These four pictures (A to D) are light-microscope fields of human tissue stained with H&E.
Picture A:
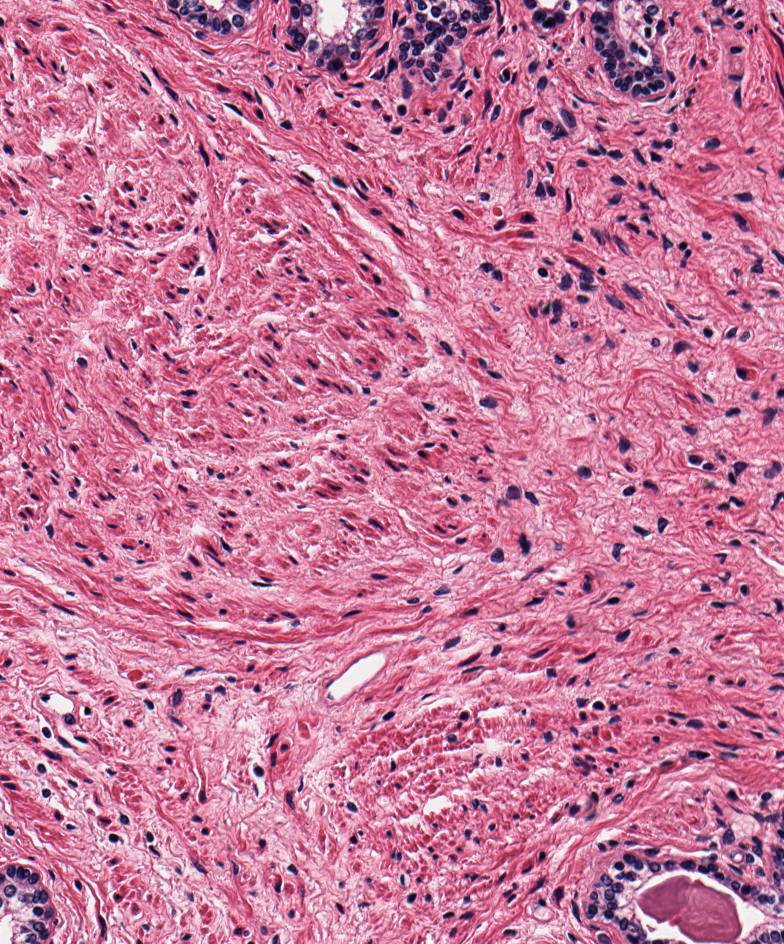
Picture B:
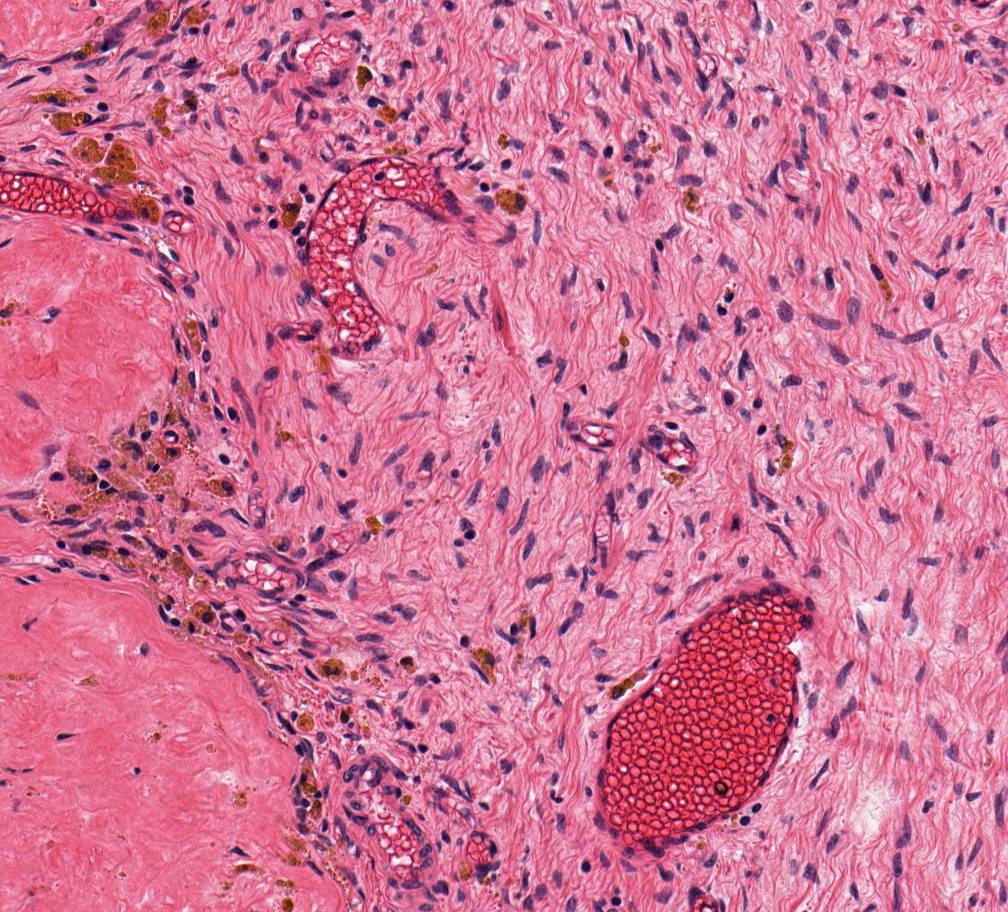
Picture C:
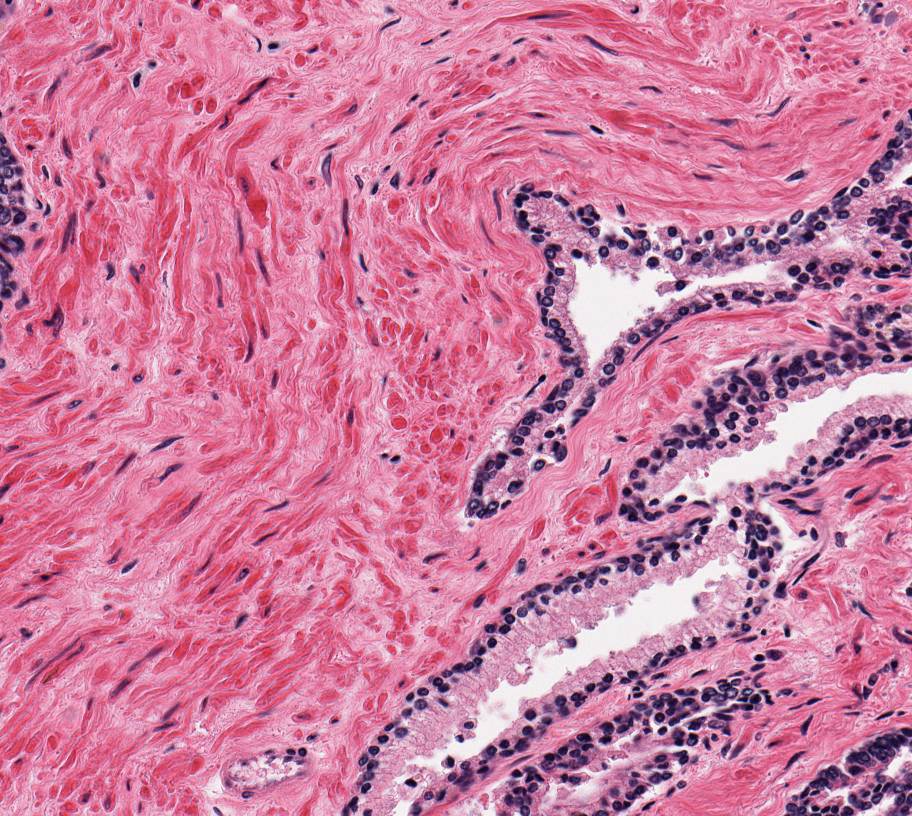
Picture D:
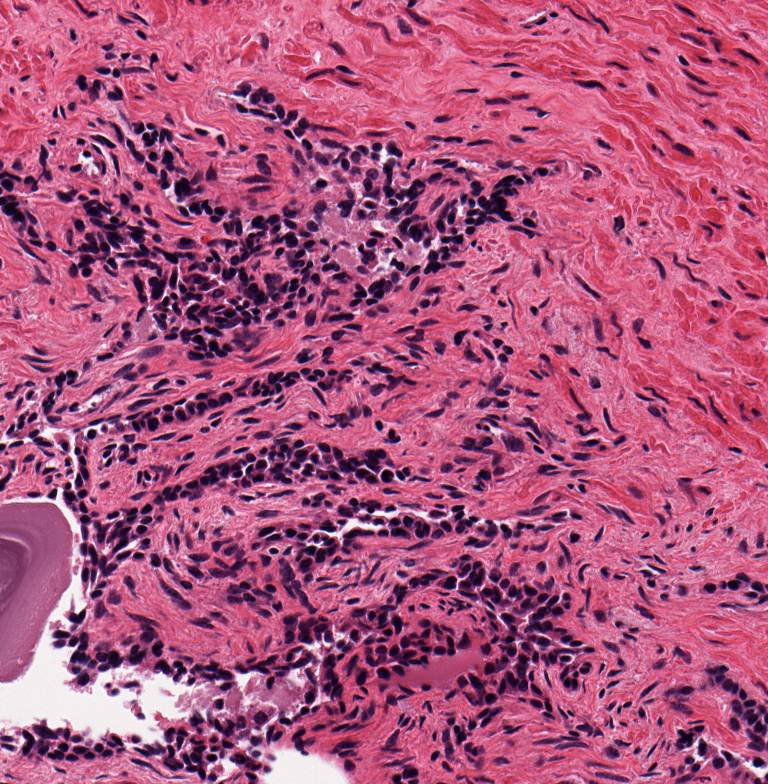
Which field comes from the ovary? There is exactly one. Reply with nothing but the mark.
B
